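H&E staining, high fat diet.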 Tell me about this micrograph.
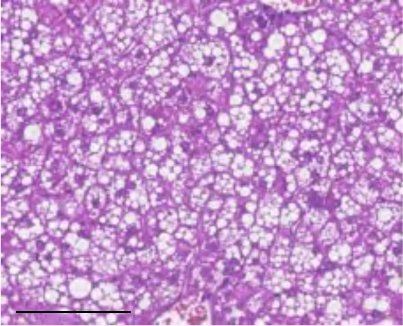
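This is liver tissue in which nearly every hepatocyte is filled with clear, round vacuoles, the picture of fatty change. The vacuoles are empty-looking spaces of varying size, from small droplets to larger ones that crowd the cell. The pink cytoplasm is reduced to thin strands and rims between the vacuoles. Purple nuclei are still visible scattered among them, but the normal even plates of cells are hard to follow.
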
